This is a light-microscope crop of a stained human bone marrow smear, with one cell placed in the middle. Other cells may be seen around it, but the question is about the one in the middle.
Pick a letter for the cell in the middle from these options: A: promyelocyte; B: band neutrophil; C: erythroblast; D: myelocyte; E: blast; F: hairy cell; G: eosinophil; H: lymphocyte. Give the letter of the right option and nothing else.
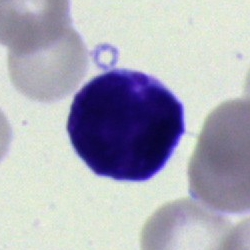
E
